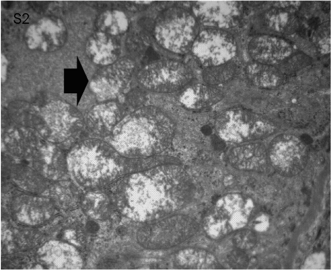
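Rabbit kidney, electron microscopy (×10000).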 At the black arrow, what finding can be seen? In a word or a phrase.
Swollen and vacuolar mitochondria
